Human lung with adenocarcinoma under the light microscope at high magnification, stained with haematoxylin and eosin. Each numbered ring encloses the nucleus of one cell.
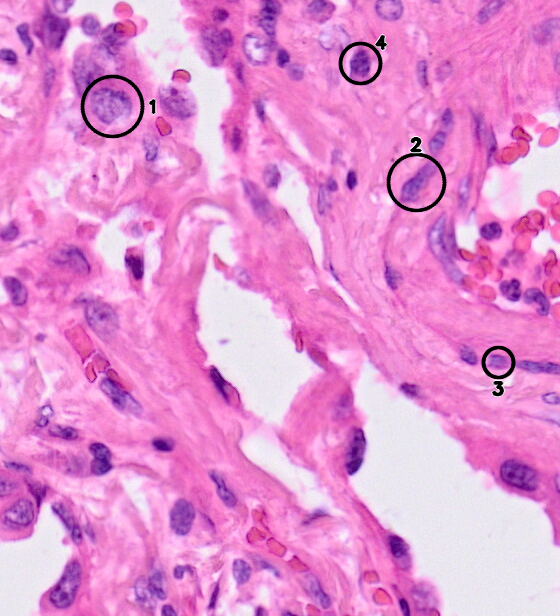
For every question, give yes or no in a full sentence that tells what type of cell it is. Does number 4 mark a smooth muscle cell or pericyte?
No, cell 4 does not represent a smooth muscle cell or pericyte; it represents a plasma cell.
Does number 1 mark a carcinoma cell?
Yes, the cell sitting at number 1 is a carcinoma cell.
